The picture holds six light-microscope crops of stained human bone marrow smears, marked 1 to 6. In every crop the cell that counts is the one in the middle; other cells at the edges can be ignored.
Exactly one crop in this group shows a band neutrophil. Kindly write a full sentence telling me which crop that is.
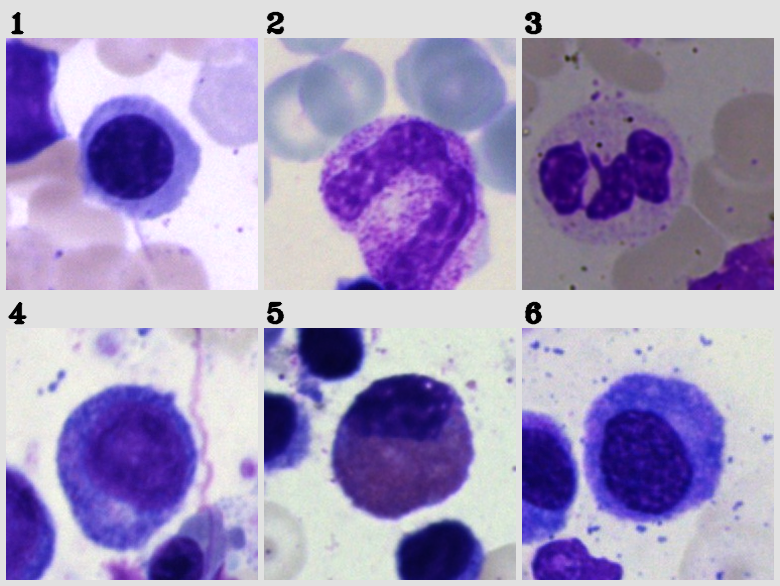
The crop marked 2 is the one in which a band neutrophil is shown.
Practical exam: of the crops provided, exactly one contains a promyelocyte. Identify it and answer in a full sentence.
The crop that has a promyelocyte in the middle is crop 4.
